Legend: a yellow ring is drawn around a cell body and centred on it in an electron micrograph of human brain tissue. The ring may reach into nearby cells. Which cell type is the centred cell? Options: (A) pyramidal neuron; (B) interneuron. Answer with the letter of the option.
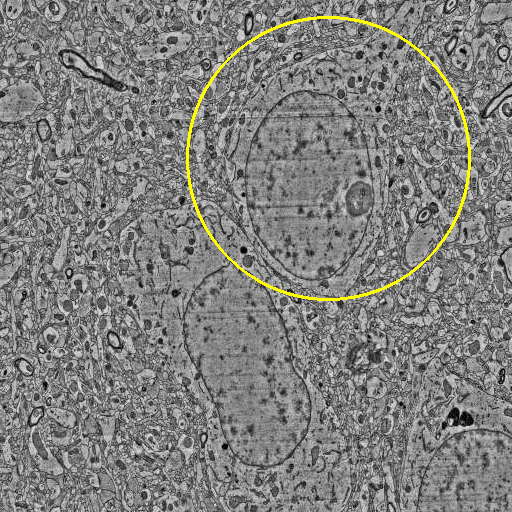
A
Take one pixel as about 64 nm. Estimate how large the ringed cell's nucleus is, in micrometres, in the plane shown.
In this plane, the nucleus of the cell at the centre of the ring measures about 12 by 8 micrometres.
